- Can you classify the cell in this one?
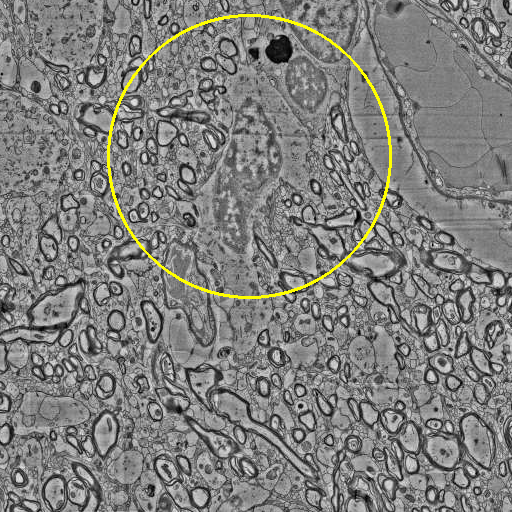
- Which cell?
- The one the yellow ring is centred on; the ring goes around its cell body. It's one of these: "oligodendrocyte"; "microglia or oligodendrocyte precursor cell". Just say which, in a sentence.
The cell body in the ring belongs to a microglial cell or oligodendrocyte precursor cell.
